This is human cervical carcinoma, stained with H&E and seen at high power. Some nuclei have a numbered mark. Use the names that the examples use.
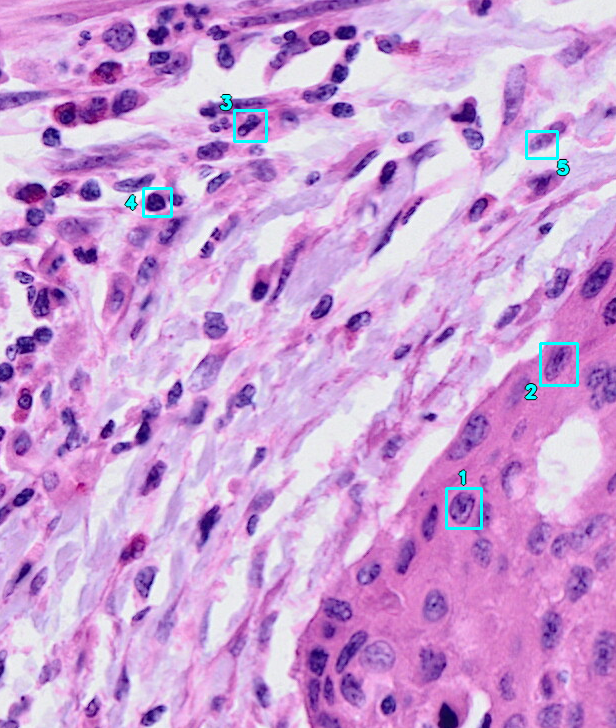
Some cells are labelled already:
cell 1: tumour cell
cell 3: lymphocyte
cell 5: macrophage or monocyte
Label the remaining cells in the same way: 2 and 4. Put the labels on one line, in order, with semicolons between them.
tumour cell; lymphocyte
